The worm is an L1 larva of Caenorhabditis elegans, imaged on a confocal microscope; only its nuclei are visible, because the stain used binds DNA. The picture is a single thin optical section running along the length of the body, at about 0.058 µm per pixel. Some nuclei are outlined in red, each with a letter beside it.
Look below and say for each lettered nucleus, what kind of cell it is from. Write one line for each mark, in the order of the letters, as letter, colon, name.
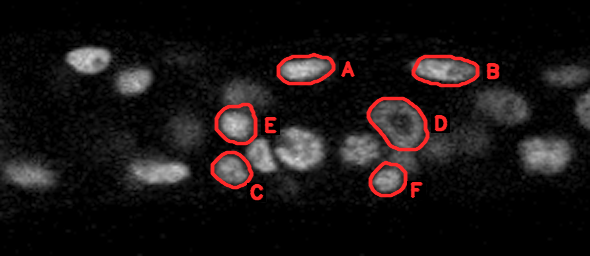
A: body wall muscle cell
B: body wall muscle cell
C: body wall muscle cell
D: intestinal cell
E: neuron
F: neuron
